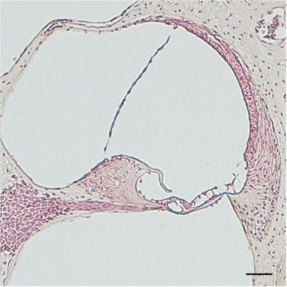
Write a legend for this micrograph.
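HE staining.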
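A cross-section through one turn of the cochlea stained pink and purple shows large empty fluid spaces separated by thin membranes. At the left edge a densely cellular purple-pink cluster lies within bone, Rosenthal's canal. From it a thin bony shelf, the osseous spiral lamina, extends rightward toward a small raised cellular ridge on the basilar membrane, the organ of Corti. The outer wall at right carries a thicker pinkish cellular band. Overall the layout of the duct looks orderly, without obvious loss of tissue.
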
